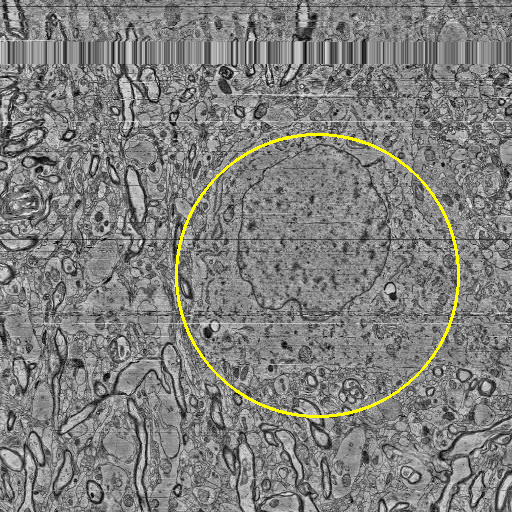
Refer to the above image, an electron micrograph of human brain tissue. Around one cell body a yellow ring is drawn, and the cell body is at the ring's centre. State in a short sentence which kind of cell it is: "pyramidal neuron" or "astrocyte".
The centre of the ring falls on a pyramidal neuron.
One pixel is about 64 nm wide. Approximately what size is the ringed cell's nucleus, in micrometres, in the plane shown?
The ringed cell's nucleus measures approximately 12 by 10 micrometres in this plane.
